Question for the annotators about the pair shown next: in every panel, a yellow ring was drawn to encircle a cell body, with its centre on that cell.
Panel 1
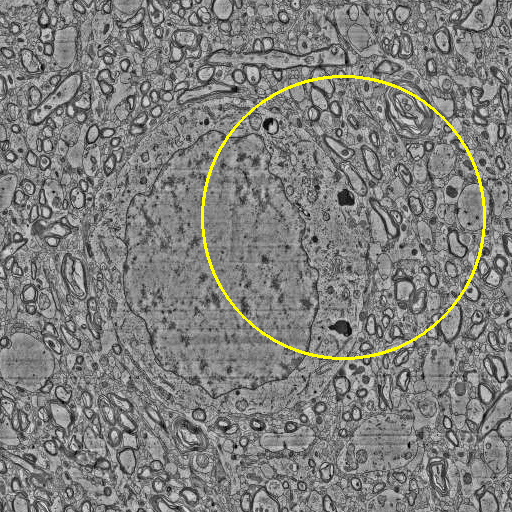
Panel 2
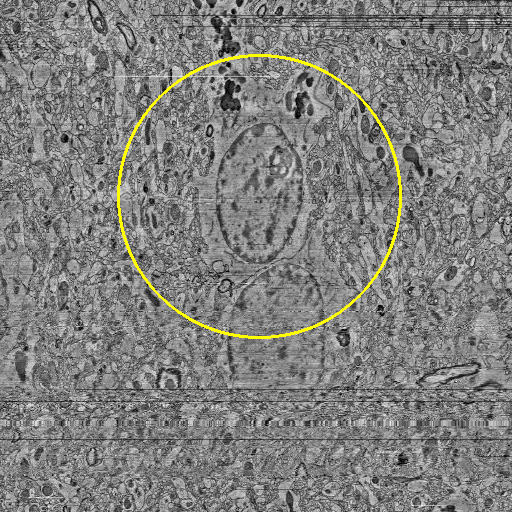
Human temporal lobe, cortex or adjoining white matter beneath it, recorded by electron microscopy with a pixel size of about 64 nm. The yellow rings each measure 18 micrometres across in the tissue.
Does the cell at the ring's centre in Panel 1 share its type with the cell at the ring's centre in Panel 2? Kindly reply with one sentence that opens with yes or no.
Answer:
No, in Panels 1 and 2 the cells at the ring centres belong to separate types.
